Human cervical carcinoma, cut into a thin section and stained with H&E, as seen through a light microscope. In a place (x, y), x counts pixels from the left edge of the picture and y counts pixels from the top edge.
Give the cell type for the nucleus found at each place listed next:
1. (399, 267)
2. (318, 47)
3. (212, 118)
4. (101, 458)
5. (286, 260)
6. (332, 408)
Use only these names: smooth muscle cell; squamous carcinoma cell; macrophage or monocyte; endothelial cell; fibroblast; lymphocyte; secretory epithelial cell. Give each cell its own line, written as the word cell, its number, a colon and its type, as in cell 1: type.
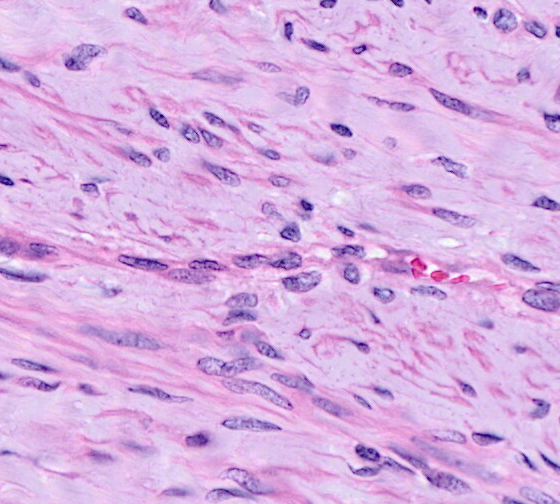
cell 1: endothelial cell
cell 2: smooth muscle cell
cell 3: smooth muscle cell
cell 4: smooth muscle cell
cell 5: endothelial cell
cell 6: smooth muscle cell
